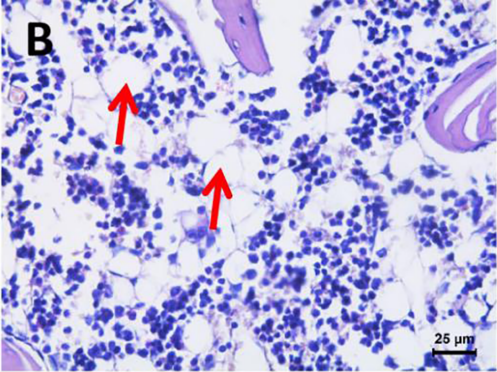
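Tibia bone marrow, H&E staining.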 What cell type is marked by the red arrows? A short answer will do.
adipocytes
